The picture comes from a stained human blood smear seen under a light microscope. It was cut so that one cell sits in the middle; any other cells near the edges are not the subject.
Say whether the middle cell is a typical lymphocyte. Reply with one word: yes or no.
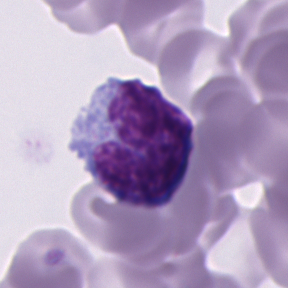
yes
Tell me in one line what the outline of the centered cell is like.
The boundary of the cell runs irregularly, ragged in parts or drawn into projections.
